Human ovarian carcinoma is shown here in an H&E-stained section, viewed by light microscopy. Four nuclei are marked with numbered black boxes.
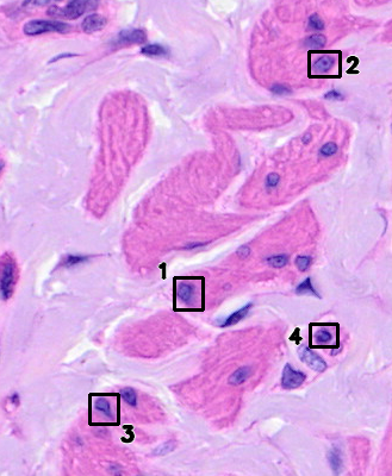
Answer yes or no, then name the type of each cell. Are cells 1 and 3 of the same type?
Yes, both are smooth muscle cells.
